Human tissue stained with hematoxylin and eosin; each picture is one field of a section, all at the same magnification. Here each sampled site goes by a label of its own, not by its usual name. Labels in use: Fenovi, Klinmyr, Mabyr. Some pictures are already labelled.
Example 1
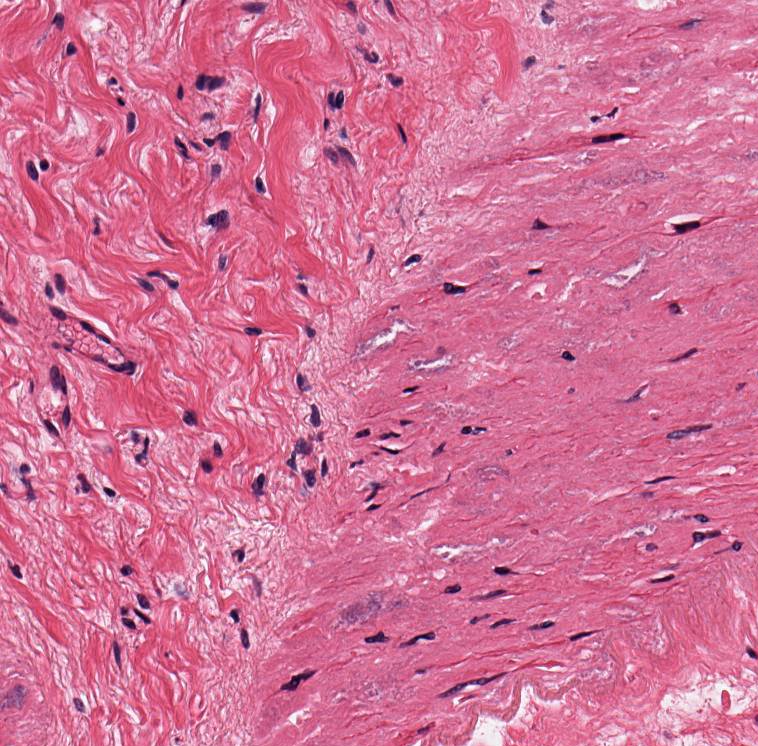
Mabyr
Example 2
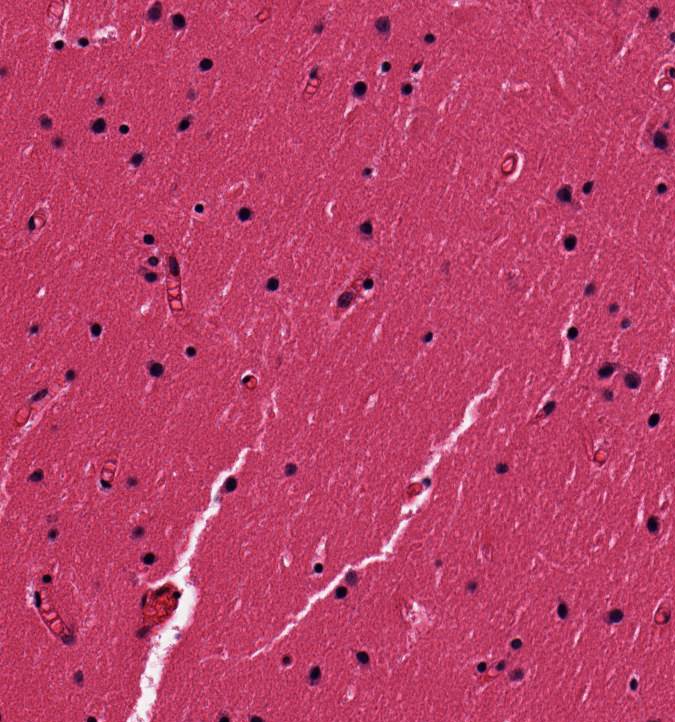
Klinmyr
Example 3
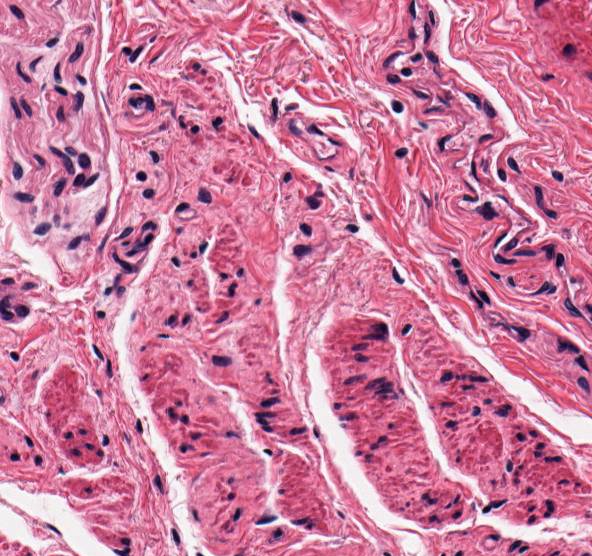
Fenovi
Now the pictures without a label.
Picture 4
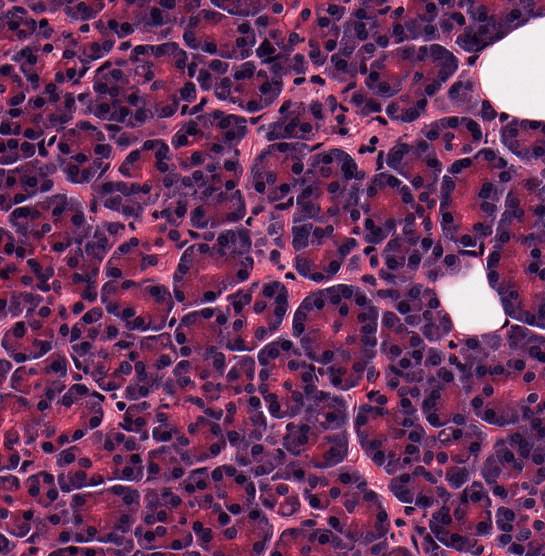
Mabyr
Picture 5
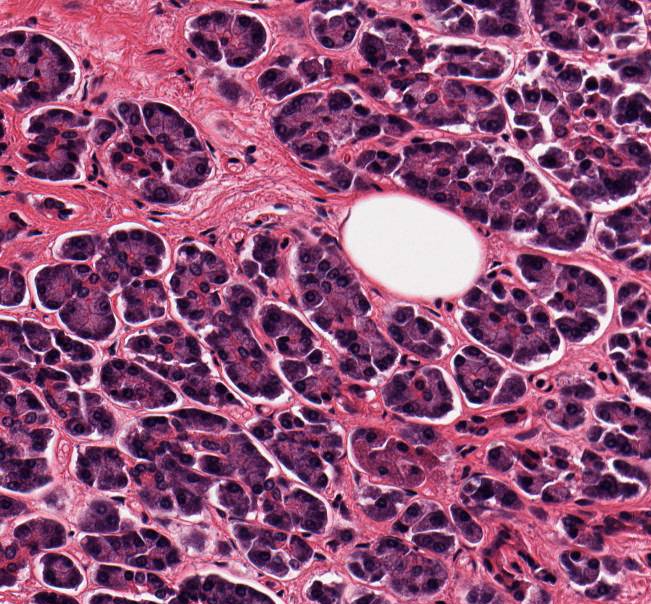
Mabyr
